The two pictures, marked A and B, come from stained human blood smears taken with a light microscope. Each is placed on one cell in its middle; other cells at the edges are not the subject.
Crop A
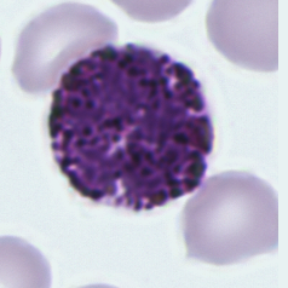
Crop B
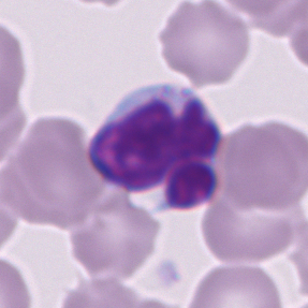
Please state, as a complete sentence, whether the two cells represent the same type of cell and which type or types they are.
No, crop B shows a lymphocyte, and crop A shows a basophil.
